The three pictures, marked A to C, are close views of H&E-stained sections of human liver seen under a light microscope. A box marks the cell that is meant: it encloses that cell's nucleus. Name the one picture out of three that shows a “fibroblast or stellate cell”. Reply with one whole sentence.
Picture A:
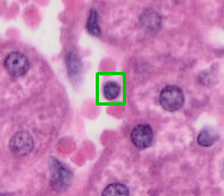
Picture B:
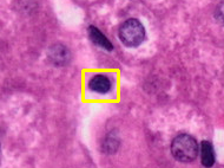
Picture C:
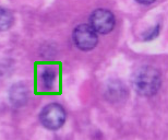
The cell in picture C is the “fibroblast or stellate cell”.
